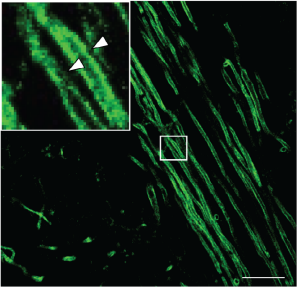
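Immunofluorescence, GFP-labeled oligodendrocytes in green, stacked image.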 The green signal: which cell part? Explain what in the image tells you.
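Myelin sheaths. Long parallel tube-like green profiles run diagonally across the field. In the inset the green profiles form paired edges along each fibre.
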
